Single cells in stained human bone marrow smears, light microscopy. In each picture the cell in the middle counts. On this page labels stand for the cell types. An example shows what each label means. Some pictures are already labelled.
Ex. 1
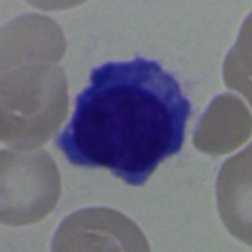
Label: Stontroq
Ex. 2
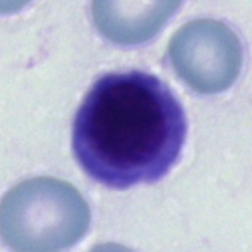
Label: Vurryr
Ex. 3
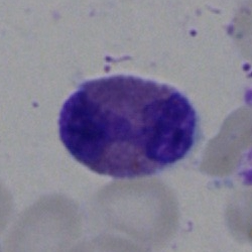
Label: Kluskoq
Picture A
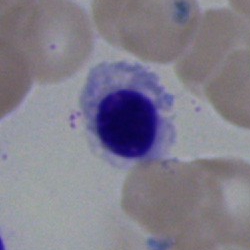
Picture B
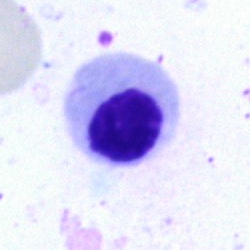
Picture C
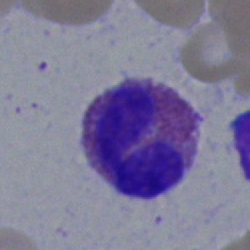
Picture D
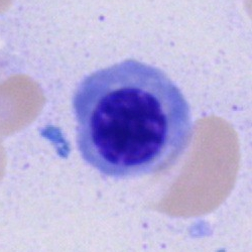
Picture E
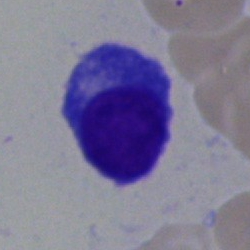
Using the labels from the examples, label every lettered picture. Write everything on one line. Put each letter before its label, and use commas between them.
A Vurryr, B Vurryr, C Kluskoq, D Vurryr, E Stontroq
